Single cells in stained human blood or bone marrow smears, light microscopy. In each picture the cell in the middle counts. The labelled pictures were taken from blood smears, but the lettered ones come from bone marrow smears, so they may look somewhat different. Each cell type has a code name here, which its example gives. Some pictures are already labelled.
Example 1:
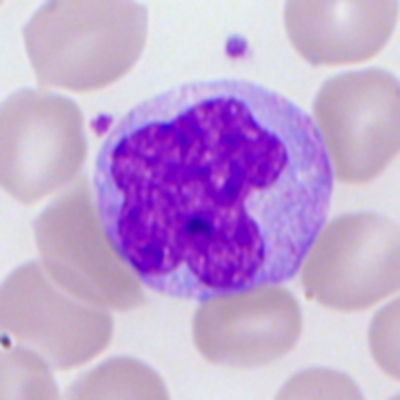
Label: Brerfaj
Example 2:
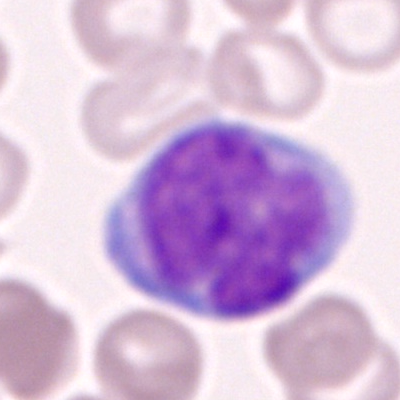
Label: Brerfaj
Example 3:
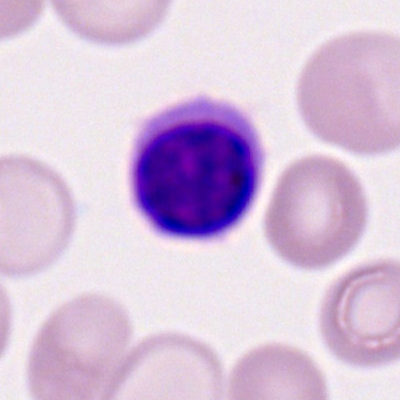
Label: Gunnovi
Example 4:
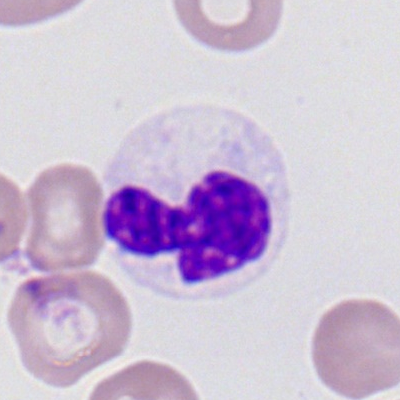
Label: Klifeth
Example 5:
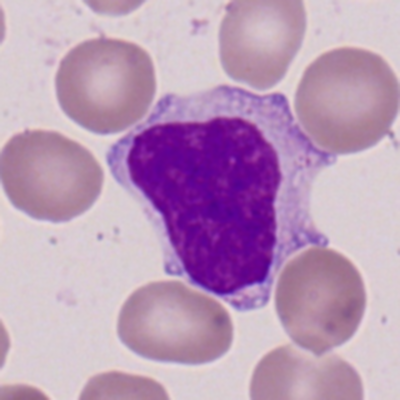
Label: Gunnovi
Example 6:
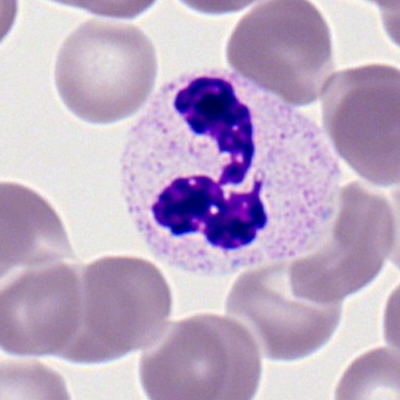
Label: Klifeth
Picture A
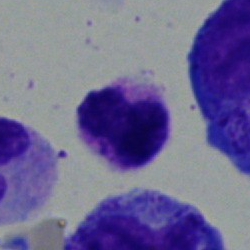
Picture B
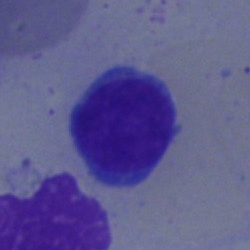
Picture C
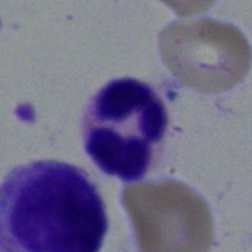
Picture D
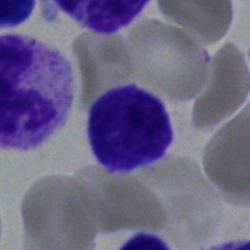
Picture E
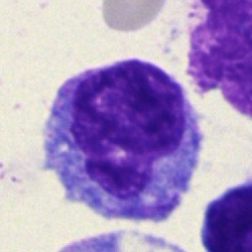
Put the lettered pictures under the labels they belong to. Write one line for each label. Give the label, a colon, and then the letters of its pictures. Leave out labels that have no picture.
Brerfaj: E
Gunnovi: B, D
Klifeth: A, C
